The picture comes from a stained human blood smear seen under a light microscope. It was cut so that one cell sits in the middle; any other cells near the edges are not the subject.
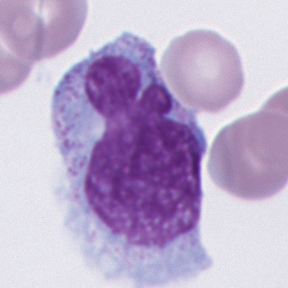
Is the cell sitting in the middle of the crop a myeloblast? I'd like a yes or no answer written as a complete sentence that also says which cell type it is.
Yes, the cell in the centre is a myeloblast.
